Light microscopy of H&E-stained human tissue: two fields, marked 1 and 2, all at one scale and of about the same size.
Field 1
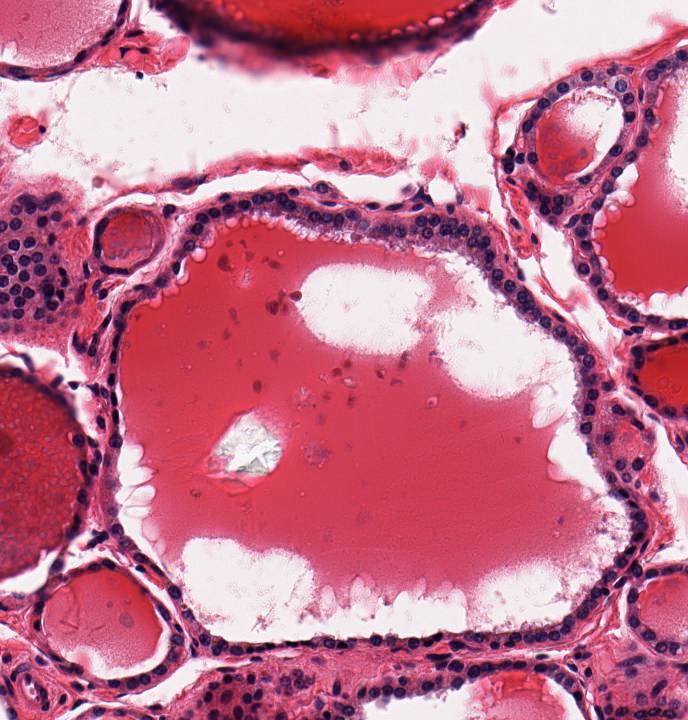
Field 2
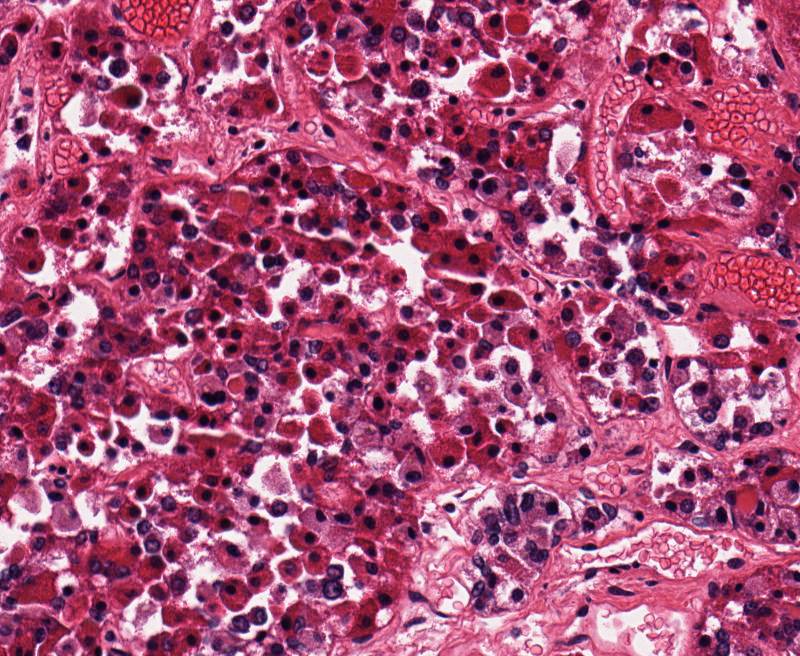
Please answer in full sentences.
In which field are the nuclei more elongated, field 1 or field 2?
The nuclei are more elongated in field 1.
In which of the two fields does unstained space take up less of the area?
Unstained space takes up less of field 2 than of field 1.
